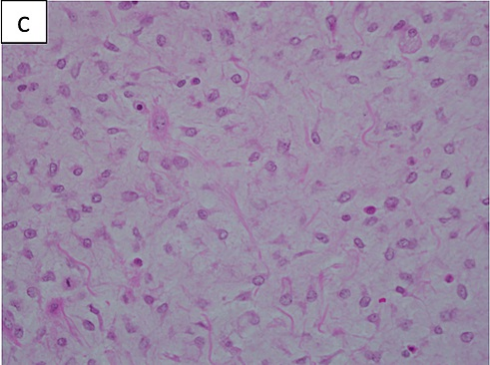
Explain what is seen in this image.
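High-power view of spindle cells lying singly in a pale, loose myxoid background. Nuclei are oval to elongated, fairly uniform in size and shape, with fine chromatin. Cytoplasm is scant and drawn out into thin, wispy pink processes. No crowding or marked nuclear variation is seen.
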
